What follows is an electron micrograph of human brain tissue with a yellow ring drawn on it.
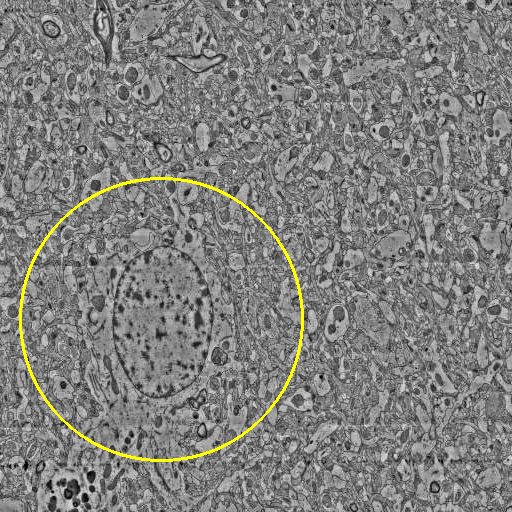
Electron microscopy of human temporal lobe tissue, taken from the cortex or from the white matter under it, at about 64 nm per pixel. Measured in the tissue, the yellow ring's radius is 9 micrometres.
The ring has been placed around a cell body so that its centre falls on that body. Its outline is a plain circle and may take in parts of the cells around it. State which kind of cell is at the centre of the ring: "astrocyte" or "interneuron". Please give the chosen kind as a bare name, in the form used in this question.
astrocyte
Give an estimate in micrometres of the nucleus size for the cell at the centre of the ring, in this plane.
Roughly 10 by 6 micrometers, clearly longer than it is wide in this plane.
